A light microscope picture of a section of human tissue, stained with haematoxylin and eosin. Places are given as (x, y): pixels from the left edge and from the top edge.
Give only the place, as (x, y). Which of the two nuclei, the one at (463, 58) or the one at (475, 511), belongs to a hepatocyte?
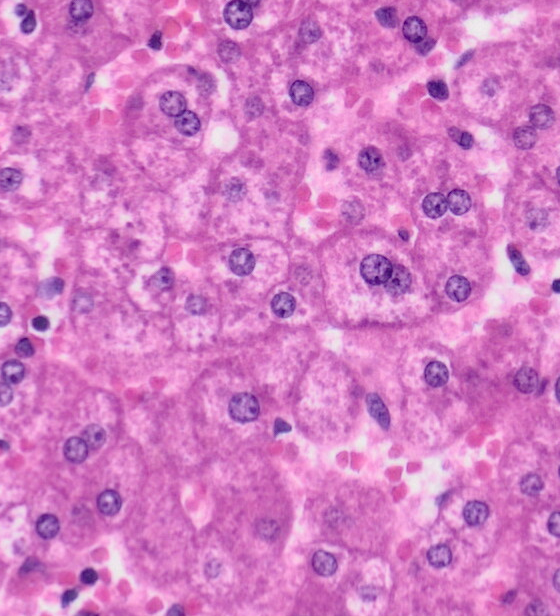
(475, 511)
